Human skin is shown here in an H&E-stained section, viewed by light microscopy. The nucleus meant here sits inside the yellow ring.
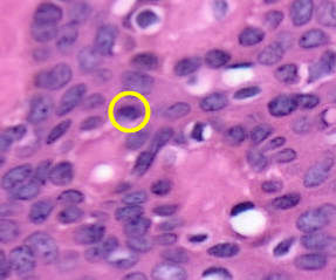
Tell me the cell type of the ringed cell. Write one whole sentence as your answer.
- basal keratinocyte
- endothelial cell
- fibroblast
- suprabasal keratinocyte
It is as a basal keratinocyte that the ringed cell is recorded.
